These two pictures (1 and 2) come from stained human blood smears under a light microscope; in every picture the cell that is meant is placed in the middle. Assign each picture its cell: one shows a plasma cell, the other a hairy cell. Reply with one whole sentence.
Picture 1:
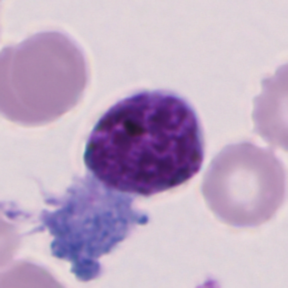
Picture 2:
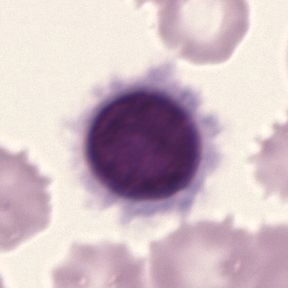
Picture 2 shows a hairy cell, while picture 1 shows a plasma cell.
